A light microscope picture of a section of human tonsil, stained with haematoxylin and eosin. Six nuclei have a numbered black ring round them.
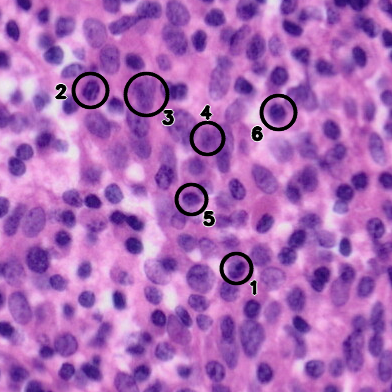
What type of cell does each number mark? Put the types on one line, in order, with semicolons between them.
plasma cell; plasma cell; squamous epithelial cell; squamous epithelial cell; plasma cell; plasma cell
